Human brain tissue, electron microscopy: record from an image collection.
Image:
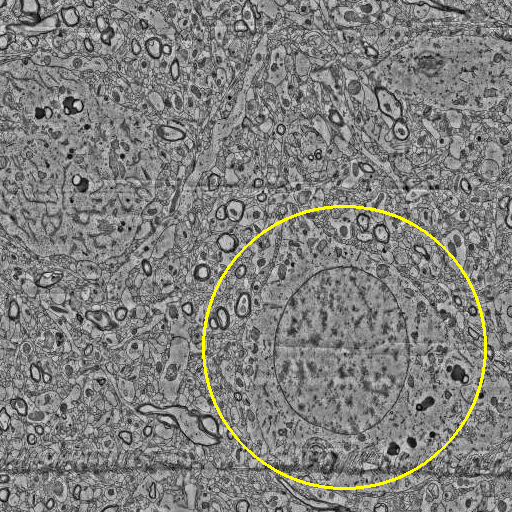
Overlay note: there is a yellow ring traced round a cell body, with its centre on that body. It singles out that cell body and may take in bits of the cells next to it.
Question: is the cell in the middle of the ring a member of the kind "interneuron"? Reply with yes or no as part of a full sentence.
No, the image's ringed cell, the one at the ring's centre, is a member of another kind.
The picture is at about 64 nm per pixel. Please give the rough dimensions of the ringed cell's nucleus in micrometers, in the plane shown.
The nucleus has a long axis of about 11 micrometres and a short axis of about 9 micrometres in this plane.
